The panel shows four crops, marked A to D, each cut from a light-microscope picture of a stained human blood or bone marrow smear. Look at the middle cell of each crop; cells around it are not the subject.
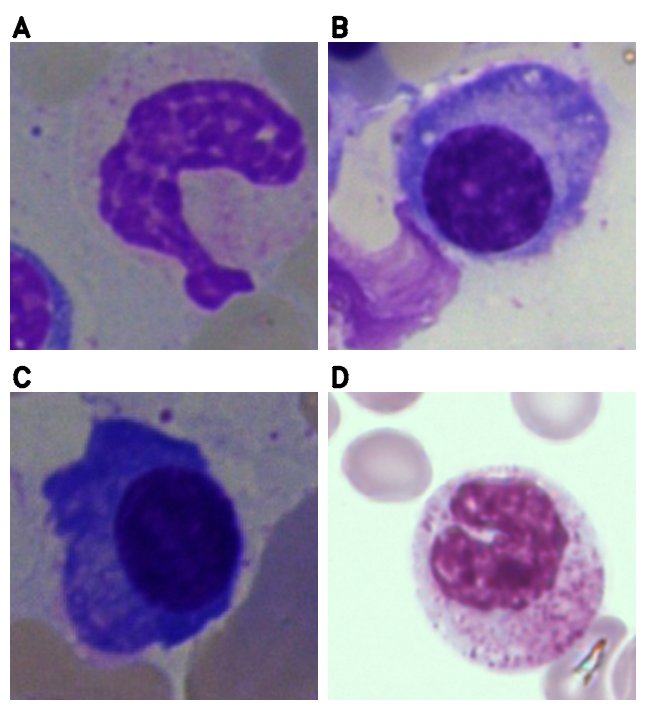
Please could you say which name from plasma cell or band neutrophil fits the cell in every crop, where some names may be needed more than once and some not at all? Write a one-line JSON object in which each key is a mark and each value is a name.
{"A": "band neutrophil", "B": "plasma cell", "C": "plasma cell", "D": "band neutrophil"}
